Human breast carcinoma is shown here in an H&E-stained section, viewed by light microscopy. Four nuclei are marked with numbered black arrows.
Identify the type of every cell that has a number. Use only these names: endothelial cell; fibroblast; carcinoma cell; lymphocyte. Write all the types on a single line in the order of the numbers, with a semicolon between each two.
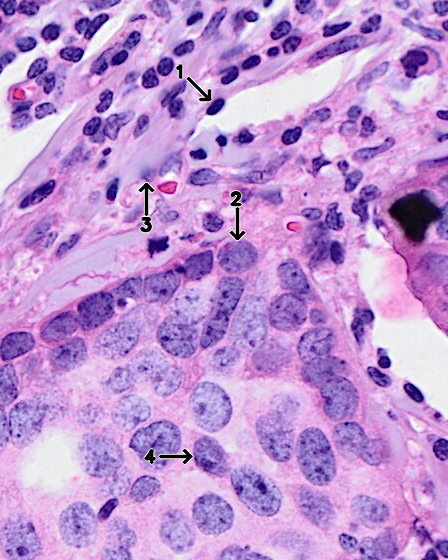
lymphocyte; carcinoma cell; endothelial cell; carcinoma cell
